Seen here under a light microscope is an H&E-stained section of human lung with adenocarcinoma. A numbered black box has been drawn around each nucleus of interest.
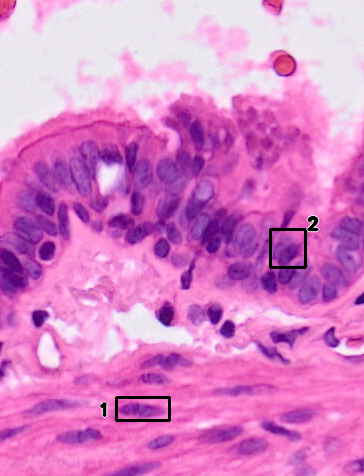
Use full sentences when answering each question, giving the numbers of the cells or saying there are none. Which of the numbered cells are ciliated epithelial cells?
In this set of numbered cells, only cell 2 is a ciliated epithelial cell.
